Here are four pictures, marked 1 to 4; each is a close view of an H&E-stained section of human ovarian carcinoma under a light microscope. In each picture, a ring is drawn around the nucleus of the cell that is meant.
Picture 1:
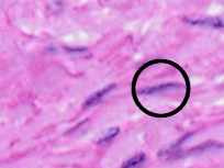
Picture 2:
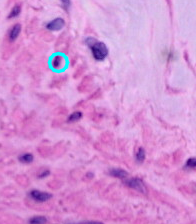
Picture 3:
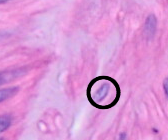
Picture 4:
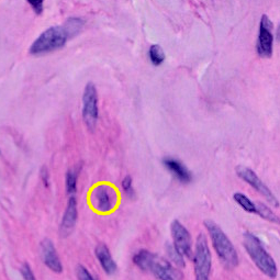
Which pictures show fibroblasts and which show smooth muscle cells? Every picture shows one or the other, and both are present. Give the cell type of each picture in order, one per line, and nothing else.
fibroblast
smooth muscle cell
smooth muscle cell
smooth muscle cell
